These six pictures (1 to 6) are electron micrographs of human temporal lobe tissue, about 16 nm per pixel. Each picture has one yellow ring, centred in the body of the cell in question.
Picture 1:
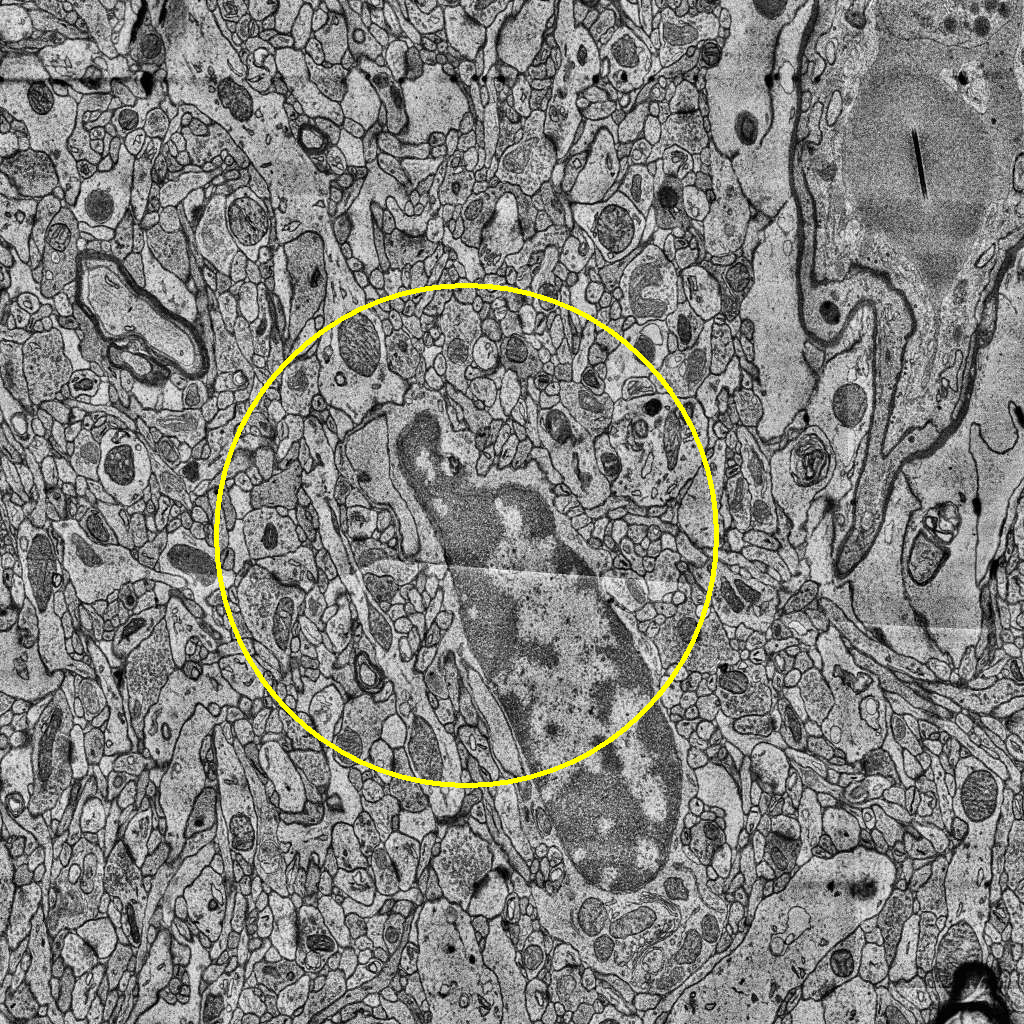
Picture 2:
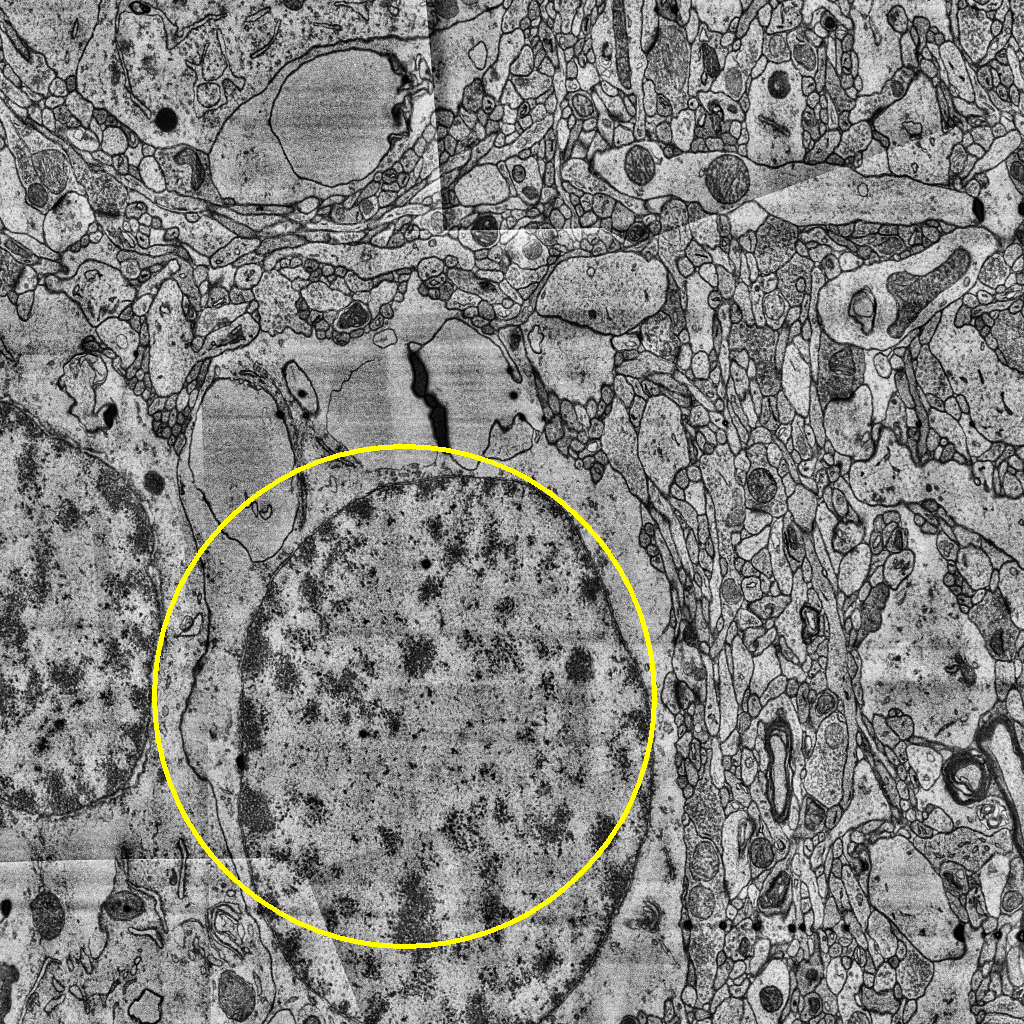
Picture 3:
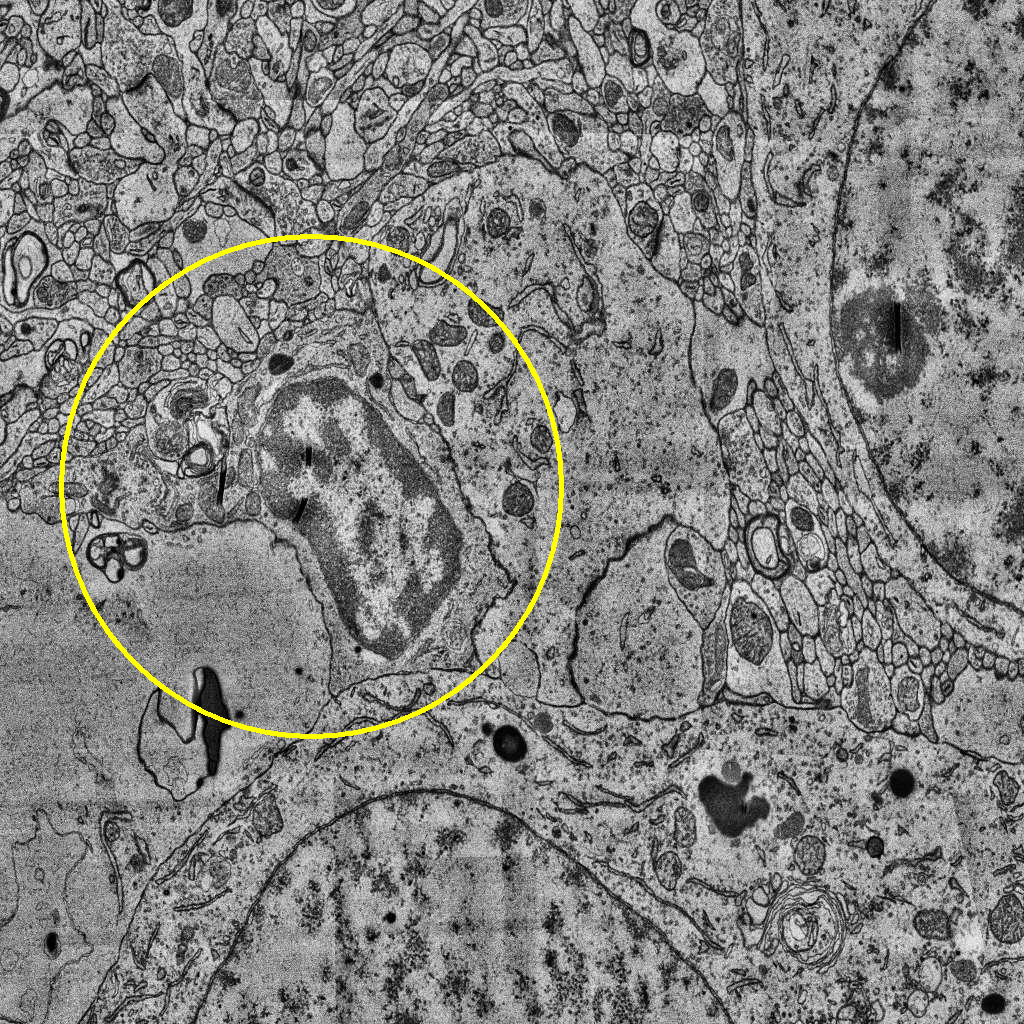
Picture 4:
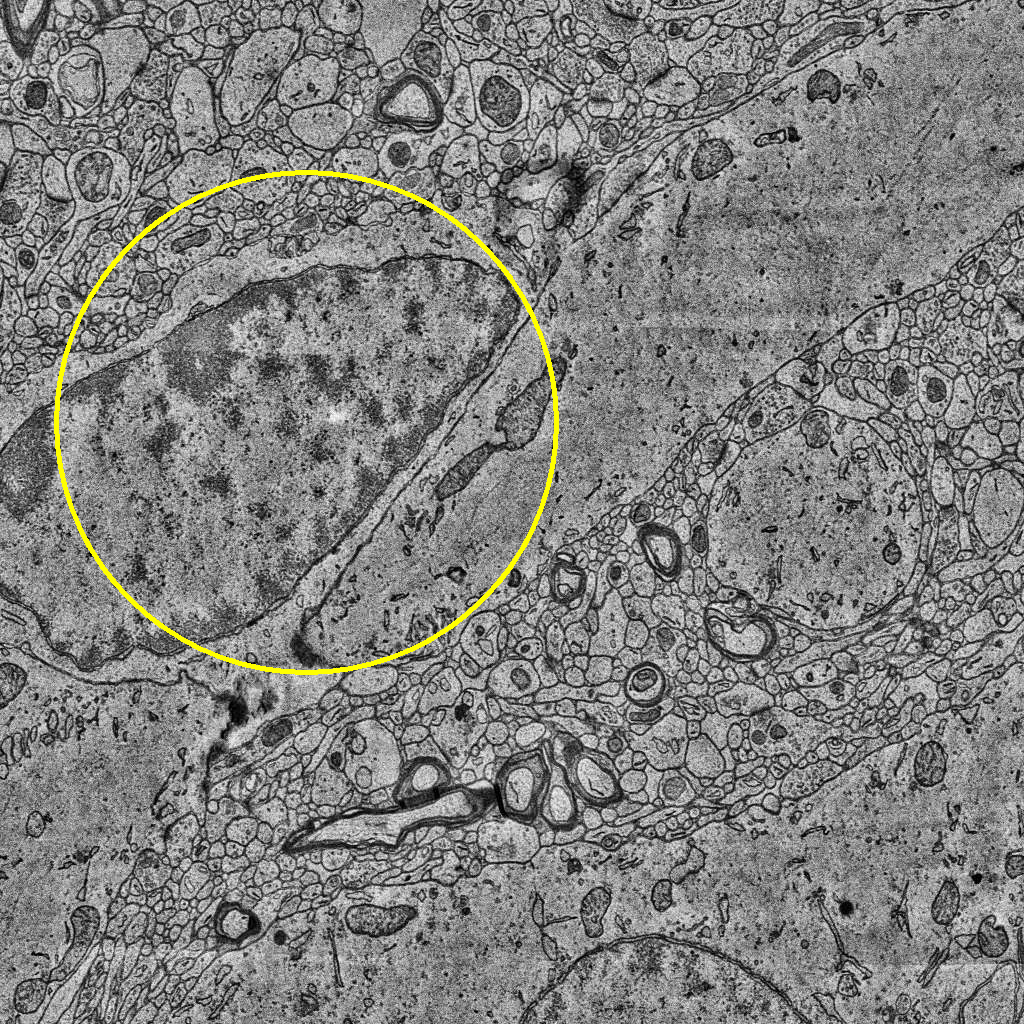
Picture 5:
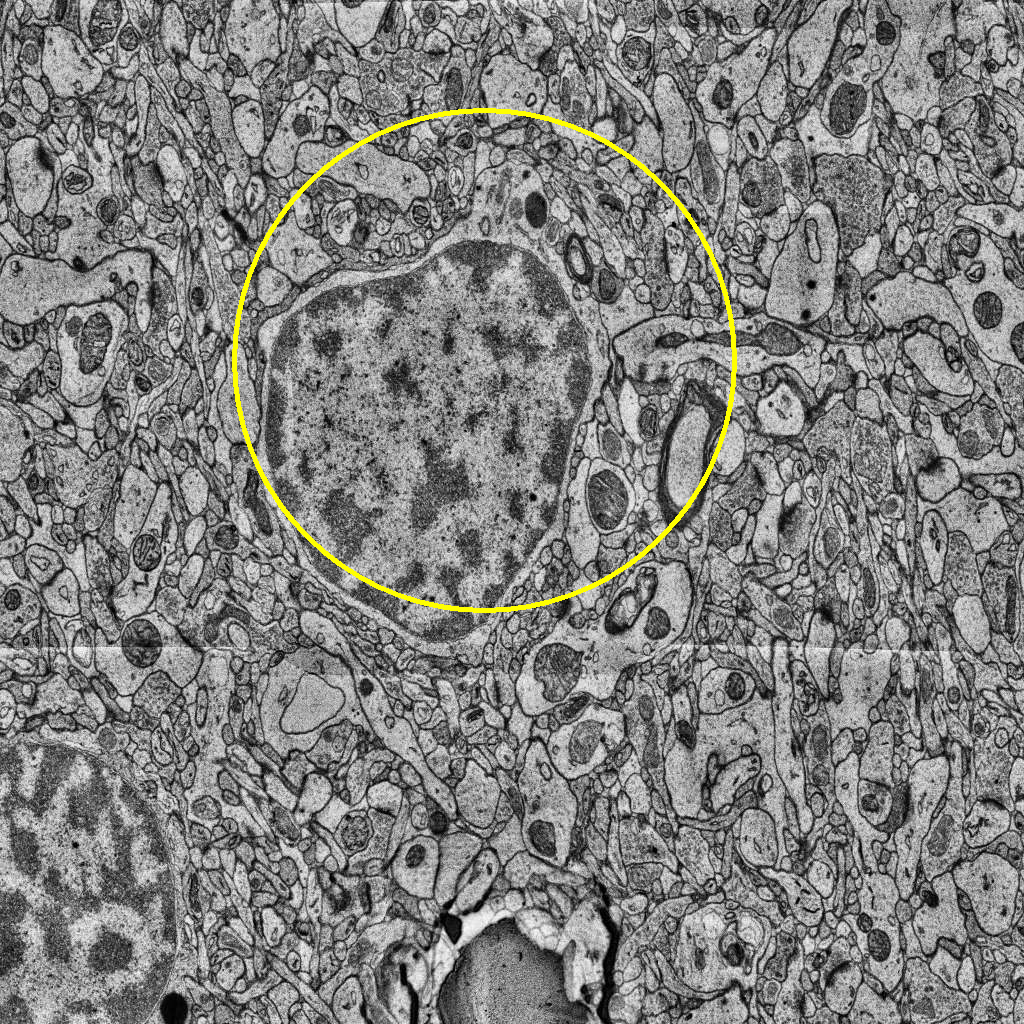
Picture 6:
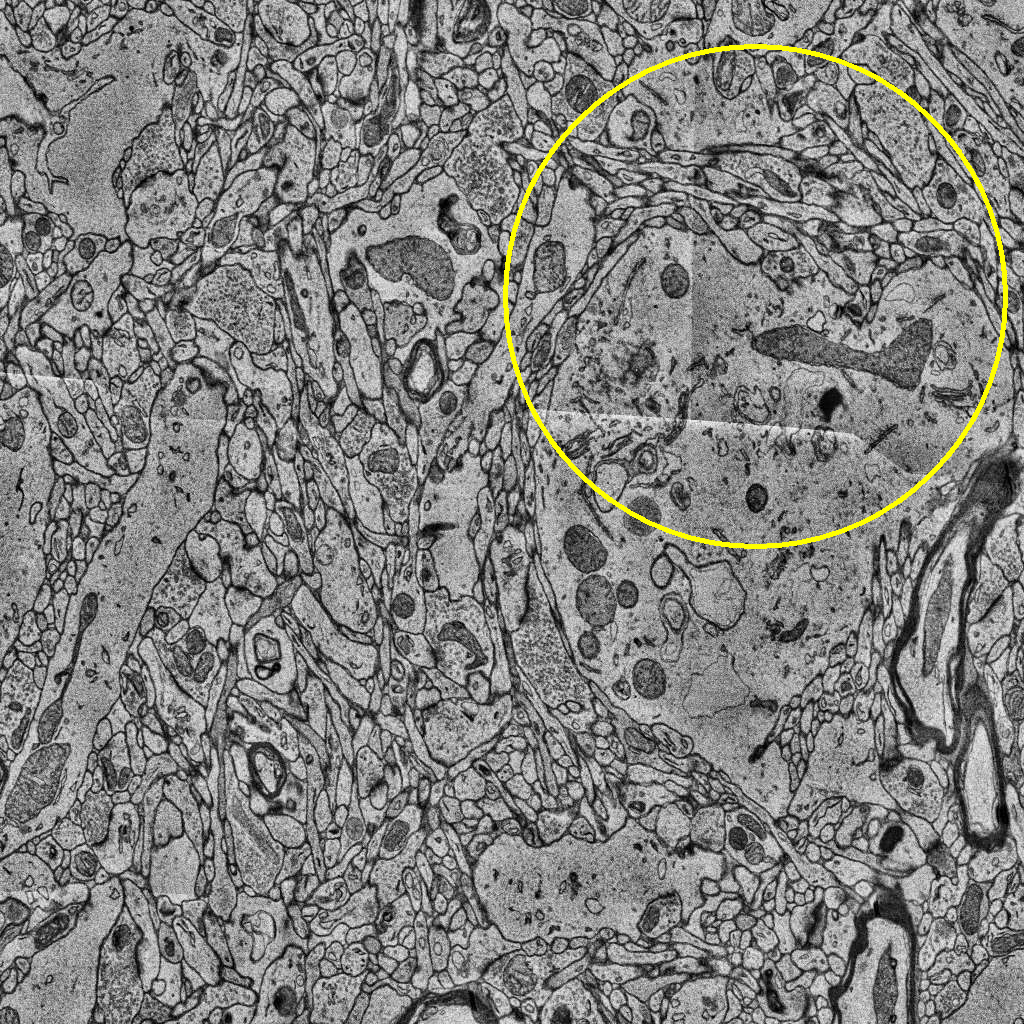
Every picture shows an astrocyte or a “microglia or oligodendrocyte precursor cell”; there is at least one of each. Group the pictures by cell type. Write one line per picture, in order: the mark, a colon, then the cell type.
1: microglia or oligodendrocyte precursor cell
2: astrocyte
3: microglia or oligodendrocyte precursor cell
4: microglia or oligodendrocyte precursor cell
5: microglia or oligodendrocyte precursor cell
6: astrocyte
